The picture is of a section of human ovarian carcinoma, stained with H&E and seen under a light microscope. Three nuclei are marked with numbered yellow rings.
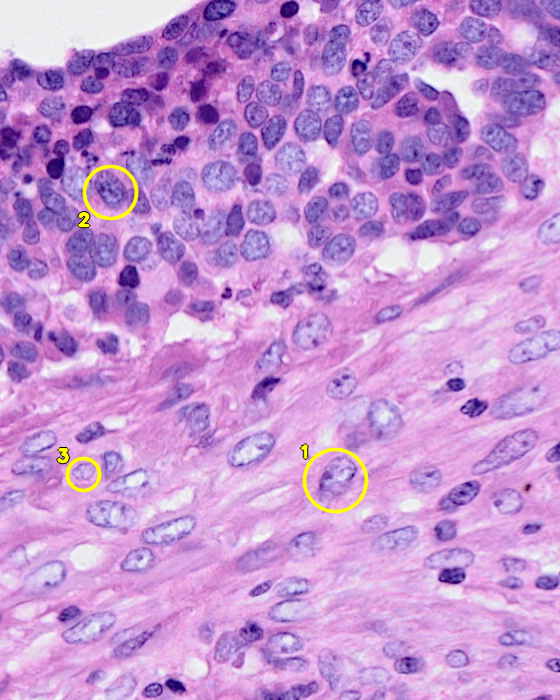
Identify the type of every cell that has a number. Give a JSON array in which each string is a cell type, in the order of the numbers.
["fibroblast", "carcinoma cell", "fibroblast"]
